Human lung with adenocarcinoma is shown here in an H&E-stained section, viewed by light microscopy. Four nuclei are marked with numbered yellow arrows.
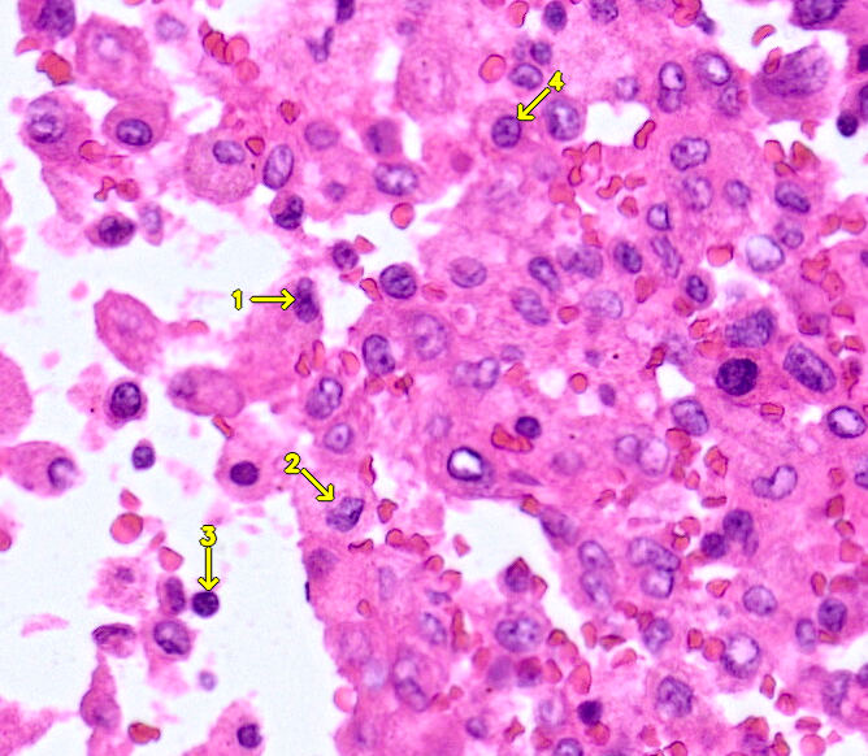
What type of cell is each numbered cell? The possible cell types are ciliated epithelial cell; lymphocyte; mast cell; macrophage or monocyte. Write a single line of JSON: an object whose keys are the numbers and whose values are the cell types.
{"1": "macrophage or monocyte", "2": "macrophage or monocyte", "3": "lymphocyte", "4": "macrophage or monocyte"}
